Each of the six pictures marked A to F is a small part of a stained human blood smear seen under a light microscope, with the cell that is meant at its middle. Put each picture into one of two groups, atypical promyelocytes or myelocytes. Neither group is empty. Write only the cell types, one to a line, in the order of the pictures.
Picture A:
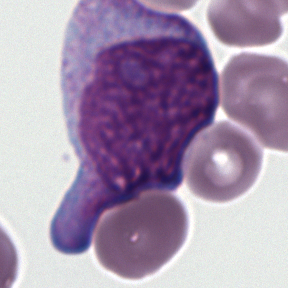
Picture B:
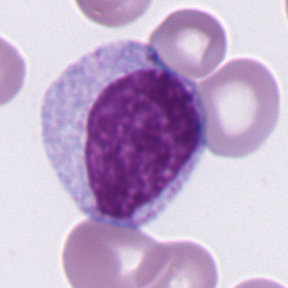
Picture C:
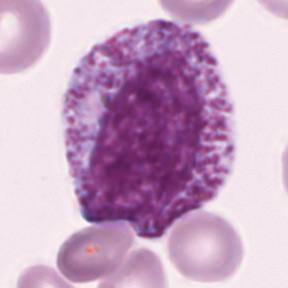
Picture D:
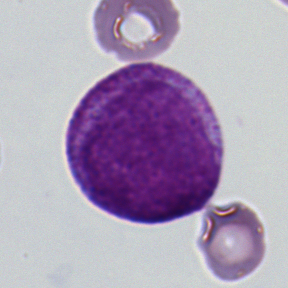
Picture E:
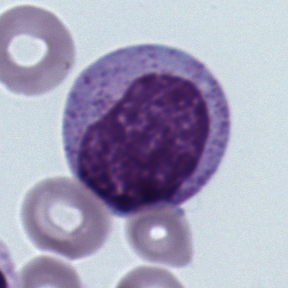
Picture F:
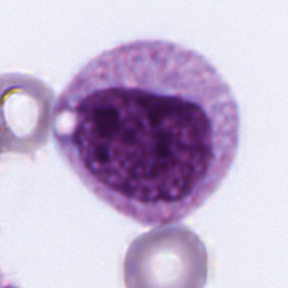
atypical promyelocyte
myelocyte
myelocyte
atypical promyelocyte
myelocyte
myelocyte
